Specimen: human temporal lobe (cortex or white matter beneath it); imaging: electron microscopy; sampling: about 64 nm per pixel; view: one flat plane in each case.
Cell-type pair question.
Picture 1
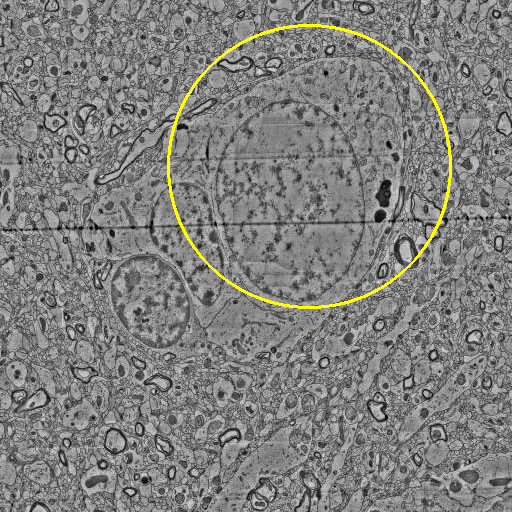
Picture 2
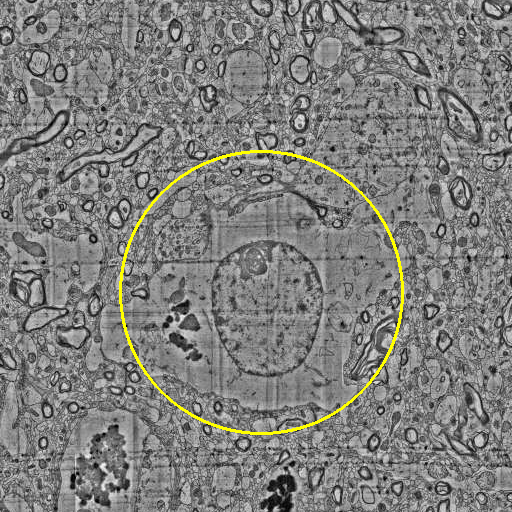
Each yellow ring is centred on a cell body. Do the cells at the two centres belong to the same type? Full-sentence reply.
No, the two cells belong to two types.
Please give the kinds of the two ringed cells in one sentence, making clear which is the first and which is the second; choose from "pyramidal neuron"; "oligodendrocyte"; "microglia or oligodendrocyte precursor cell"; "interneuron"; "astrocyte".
In the second picture the ringed cell is an astrocyte; in the first it is a pyramidal neuron.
